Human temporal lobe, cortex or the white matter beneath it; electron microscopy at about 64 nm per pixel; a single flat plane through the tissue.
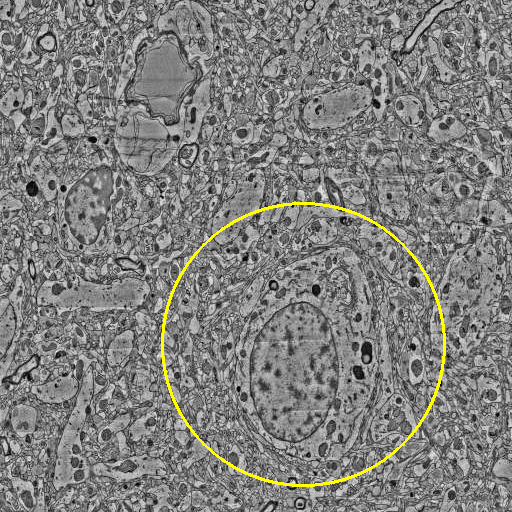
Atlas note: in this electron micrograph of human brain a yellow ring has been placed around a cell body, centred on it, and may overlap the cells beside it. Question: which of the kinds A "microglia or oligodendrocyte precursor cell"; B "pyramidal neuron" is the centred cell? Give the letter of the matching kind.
B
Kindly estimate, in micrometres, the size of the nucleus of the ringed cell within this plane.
Approximately 9 by 6 micrometers, which makes the nucleus clearly longer than it is wide in this plane.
